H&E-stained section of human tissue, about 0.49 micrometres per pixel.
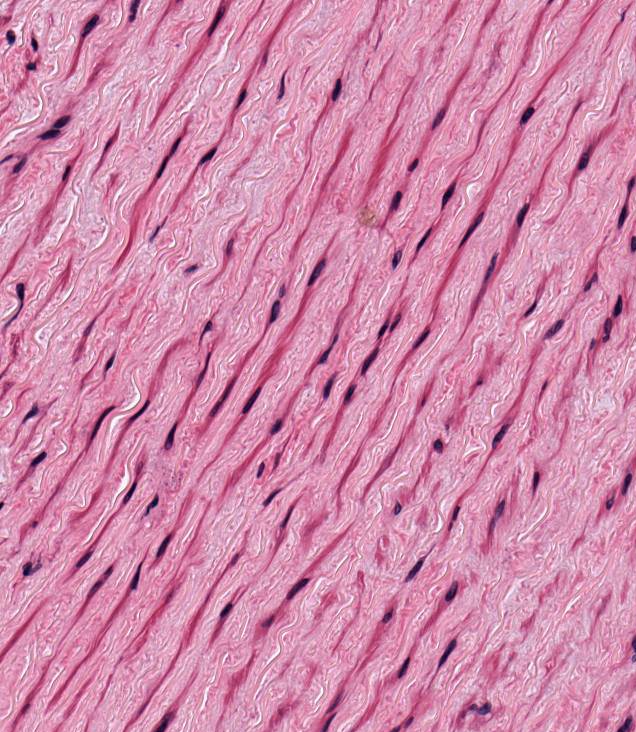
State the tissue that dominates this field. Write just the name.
tunica media of an artery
